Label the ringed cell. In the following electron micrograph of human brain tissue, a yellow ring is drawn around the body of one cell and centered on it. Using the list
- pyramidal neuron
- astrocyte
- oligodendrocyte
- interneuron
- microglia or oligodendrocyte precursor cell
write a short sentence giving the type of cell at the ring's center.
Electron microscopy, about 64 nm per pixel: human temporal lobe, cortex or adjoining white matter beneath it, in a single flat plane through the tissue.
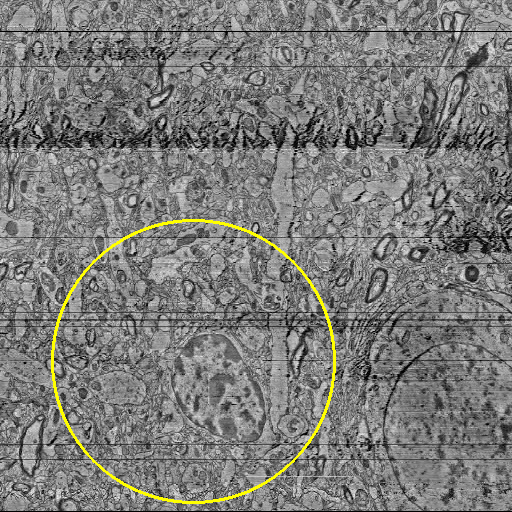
The cell body at the ring's center is that of a microglial cell or oligodendrocyte precursor cell.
